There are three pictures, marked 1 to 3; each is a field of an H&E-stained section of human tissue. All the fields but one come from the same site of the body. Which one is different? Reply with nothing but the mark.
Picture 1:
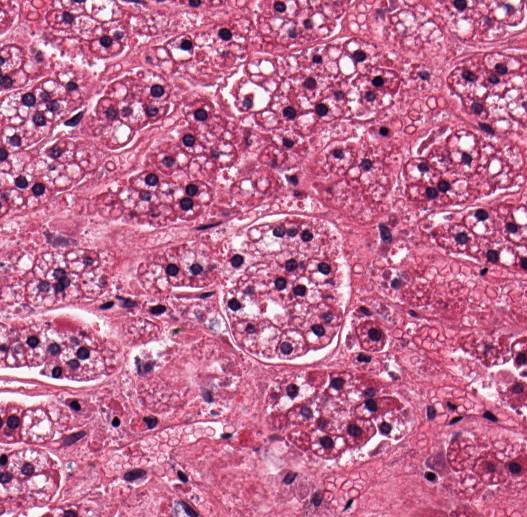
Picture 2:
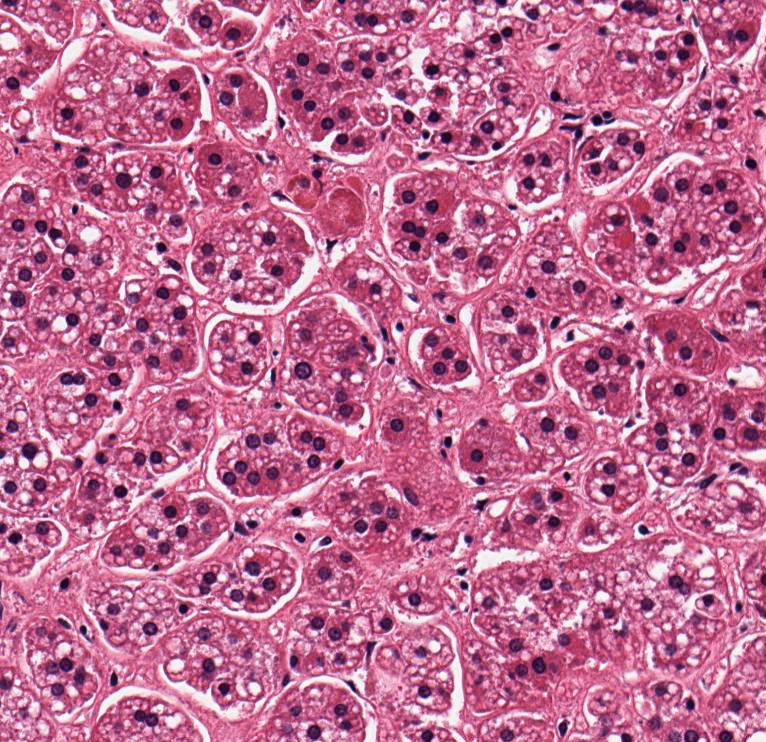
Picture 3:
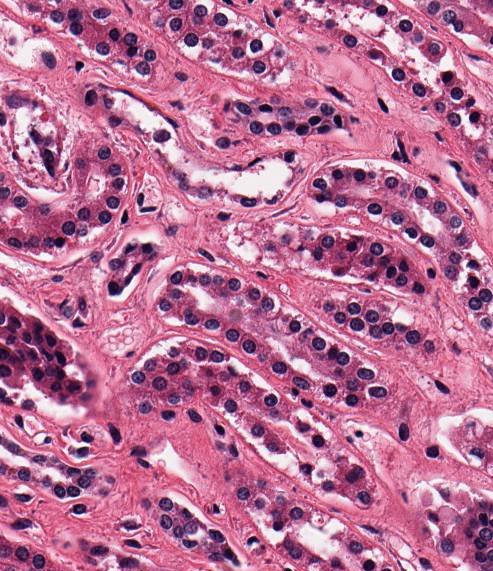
3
